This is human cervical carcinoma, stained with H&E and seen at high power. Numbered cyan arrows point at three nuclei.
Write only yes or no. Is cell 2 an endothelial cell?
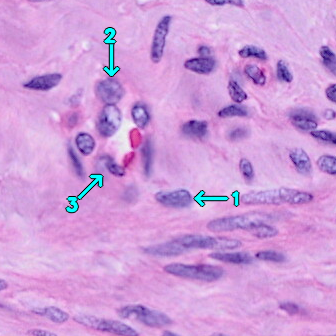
yes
